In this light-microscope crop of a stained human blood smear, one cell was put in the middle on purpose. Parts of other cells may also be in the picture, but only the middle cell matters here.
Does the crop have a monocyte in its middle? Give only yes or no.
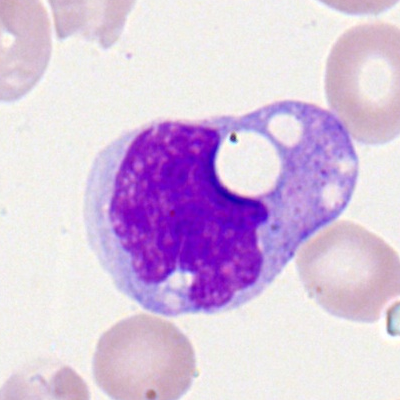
yes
